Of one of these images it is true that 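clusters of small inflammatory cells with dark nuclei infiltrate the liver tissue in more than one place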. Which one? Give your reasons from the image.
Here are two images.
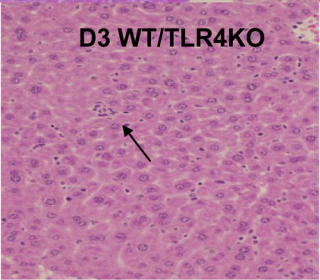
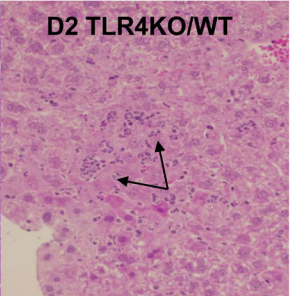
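The second image. First image: only a few scattered small dark cells, one small group marked. Second image: two distinct clusters of small dark-nucleated cells among the pink liver cells.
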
